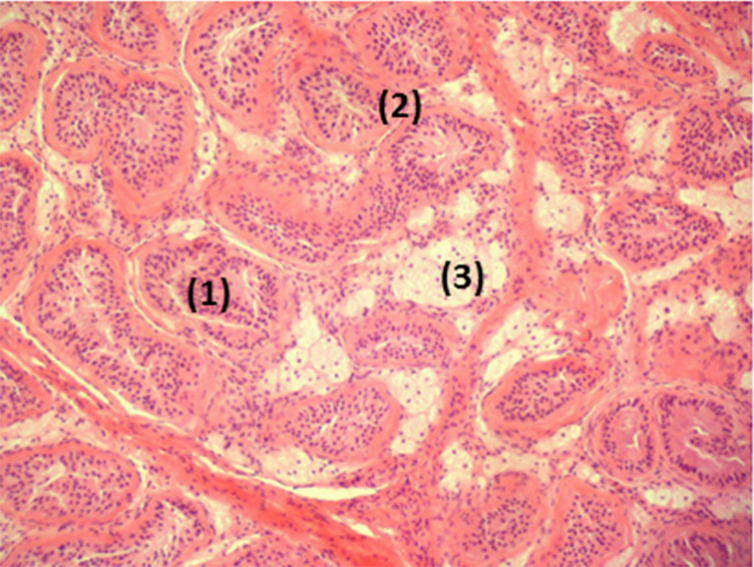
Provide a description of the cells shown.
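This is testicular tissue at low magnification, made up of many small atrophic seminiferous tubules with clusters of Leydig cells between them. Every tubule is wrapped in a broad, uniformly pink, glassy band, a hyaline thickening of its basal membrane. In the spaces between the tubules lie sheets of pale cells with clear, foamy cytoplasm. These interstitial cells are numerous and form large groups.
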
